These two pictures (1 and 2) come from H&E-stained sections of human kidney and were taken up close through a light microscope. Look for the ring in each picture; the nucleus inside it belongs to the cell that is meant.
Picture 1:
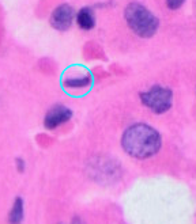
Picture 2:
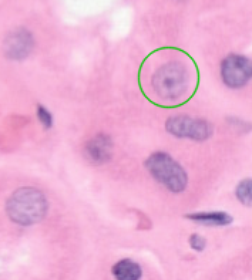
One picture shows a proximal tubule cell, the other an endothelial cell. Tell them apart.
1: endothelial cell
2: proximal tubule cell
